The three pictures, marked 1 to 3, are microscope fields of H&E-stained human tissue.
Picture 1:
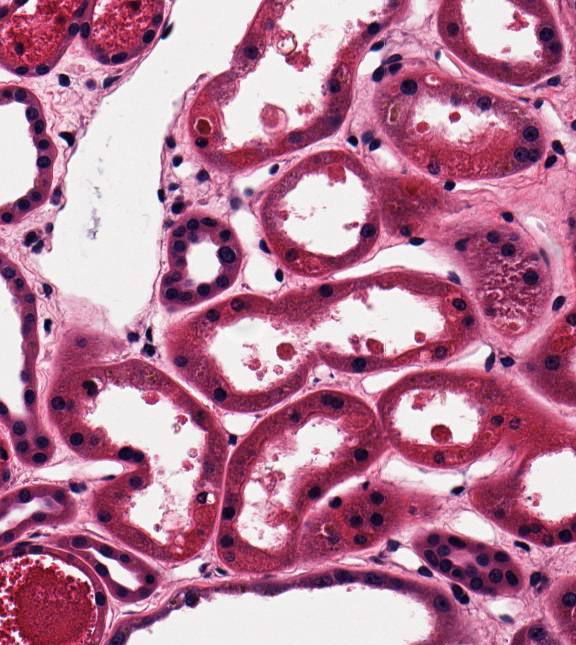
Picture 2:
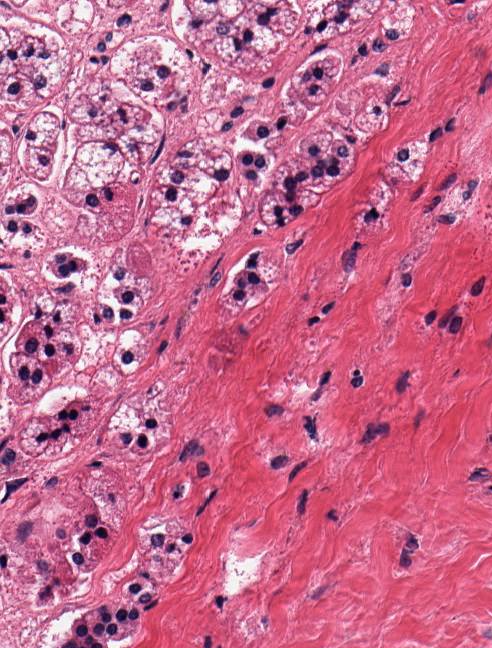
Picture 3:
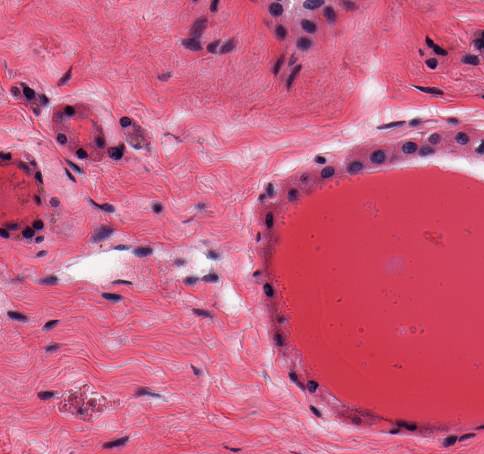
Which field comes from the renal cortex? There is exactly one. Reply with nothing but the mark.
1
